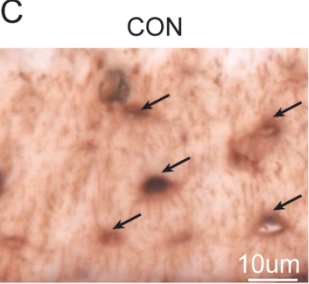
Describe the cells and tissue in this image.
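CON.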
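This section shows osteocytes embedded in bone matrix. The cells sit singly in small oval or rounded lacunae that are spaced apart across the field. The surrounding matrix carries a dense brown stain, with fine streaks giving it a textured look. The lacunae are ringed by darker brown or grey-brown. Some lacunae appear partly empty, while others hold a dark cell body.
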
